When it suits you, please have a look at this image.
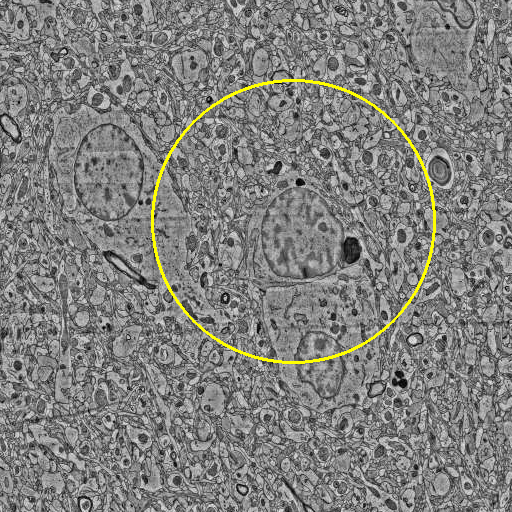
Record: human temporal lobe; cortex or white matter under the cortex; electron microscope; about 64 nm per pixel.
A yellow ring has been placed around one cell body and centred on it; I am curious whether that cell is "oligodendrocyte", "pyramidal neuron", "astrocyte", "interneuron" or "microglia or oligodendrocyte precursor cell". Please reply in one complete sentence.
The ringed cell, an oligodendrocyte, has its body at the centre of the yellow ring.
